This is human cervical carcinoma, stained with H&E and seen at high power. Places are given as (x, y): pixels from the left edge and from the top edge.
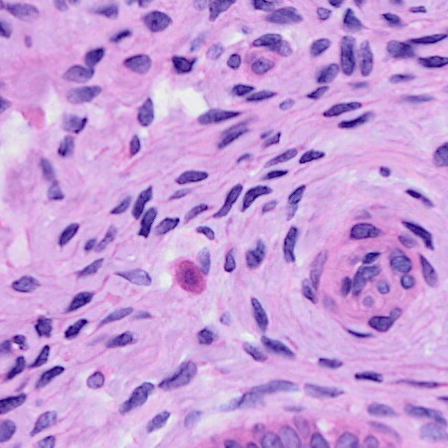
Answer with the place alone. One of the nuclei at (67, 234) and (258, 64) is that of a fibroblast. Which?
(67, 234)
